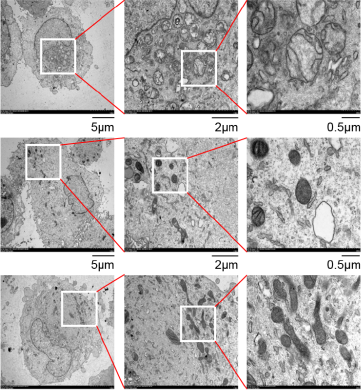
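At the highest magnification the cytoplasm holds mitochondria, oval to elongated organelles with a double outline and inner cristae. In the middle row the mitochondria look small and dark, and a large clear vacuole lies beside them, whereas in the bottom row several elongated mitochondria with visible cristae are seen.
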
